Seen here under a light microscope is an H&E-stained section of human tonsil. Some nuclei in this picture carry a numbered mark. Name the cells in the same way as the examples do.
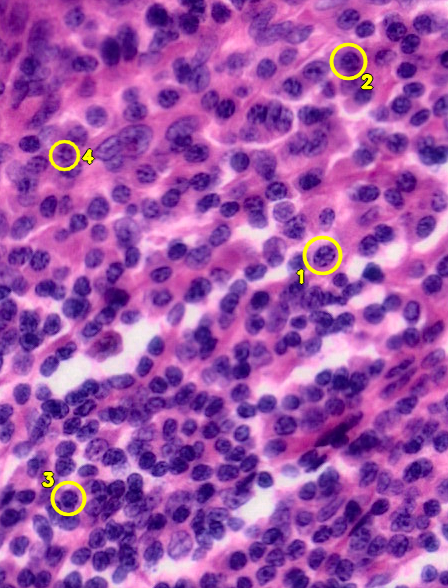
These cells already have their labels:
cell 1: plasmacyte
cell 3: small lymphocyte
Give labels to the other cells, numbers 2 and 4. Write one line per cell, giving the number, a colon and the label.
2: plasmacyte
4: plasmacyte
